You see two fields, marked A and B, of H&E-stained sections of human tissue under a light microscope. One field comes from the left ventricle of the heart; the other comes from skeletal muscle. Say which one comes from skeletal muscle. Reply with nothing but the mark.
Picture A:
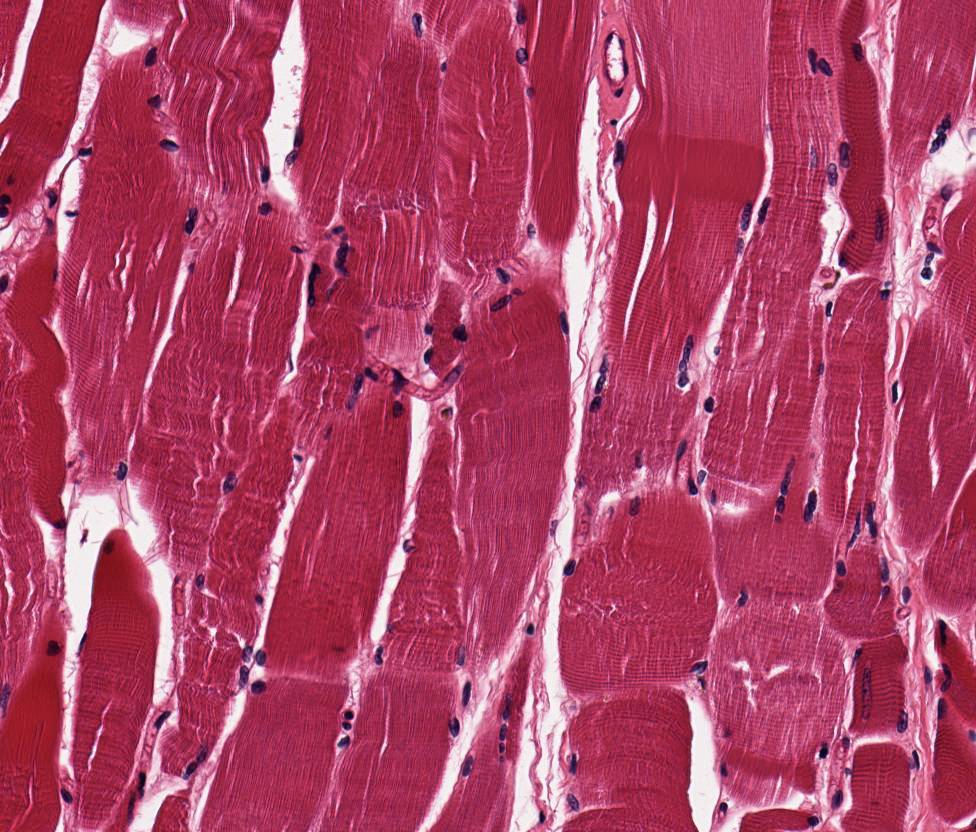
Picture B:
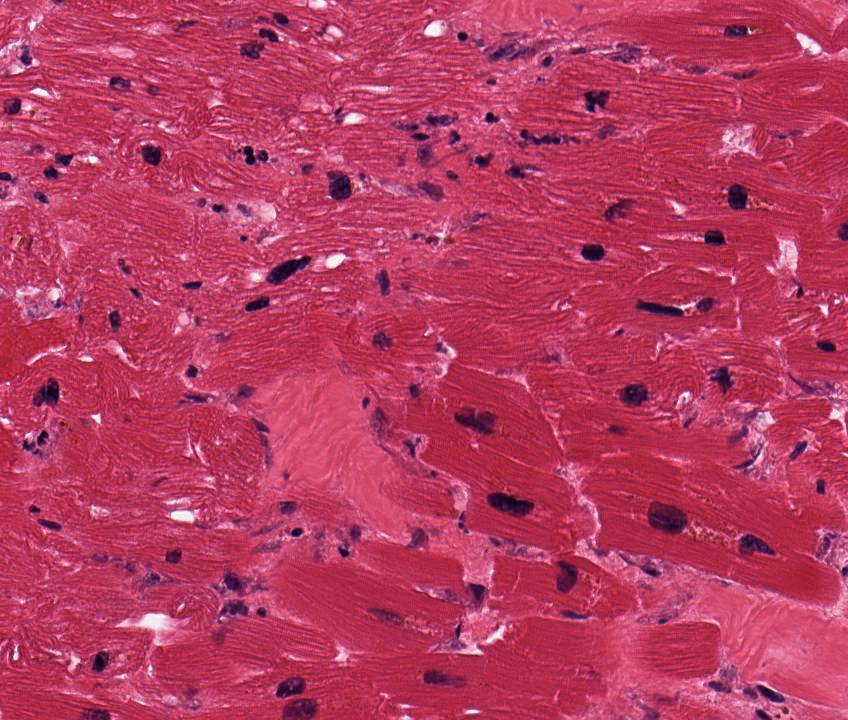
A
